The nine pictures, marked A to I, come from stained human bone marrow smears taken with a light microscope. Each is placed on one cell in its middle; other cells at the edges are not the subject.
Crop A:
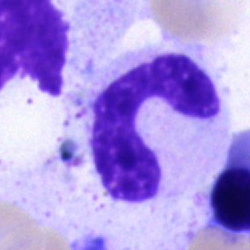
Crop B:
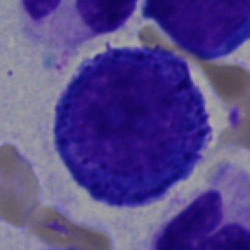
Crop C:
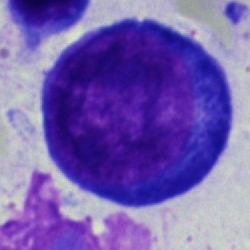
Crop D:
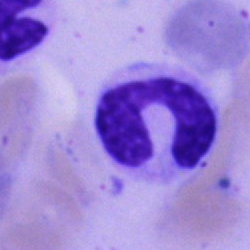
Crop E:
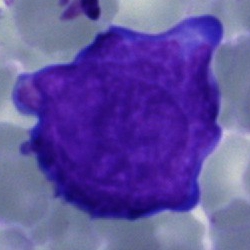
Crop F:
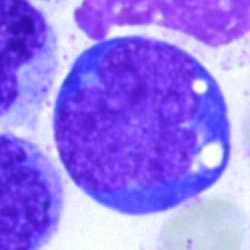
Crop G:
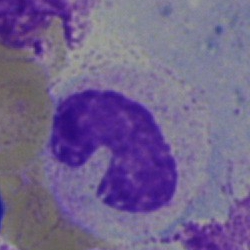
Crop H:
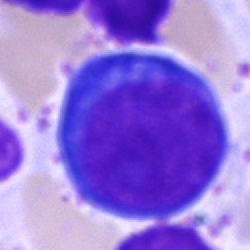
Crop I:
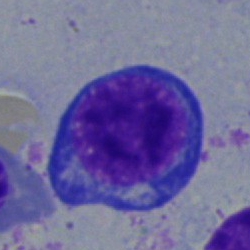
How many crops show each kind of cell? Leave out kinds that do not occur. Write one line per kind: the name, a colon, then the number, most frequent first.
proerythroblast: 6
band neutrophil: 3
